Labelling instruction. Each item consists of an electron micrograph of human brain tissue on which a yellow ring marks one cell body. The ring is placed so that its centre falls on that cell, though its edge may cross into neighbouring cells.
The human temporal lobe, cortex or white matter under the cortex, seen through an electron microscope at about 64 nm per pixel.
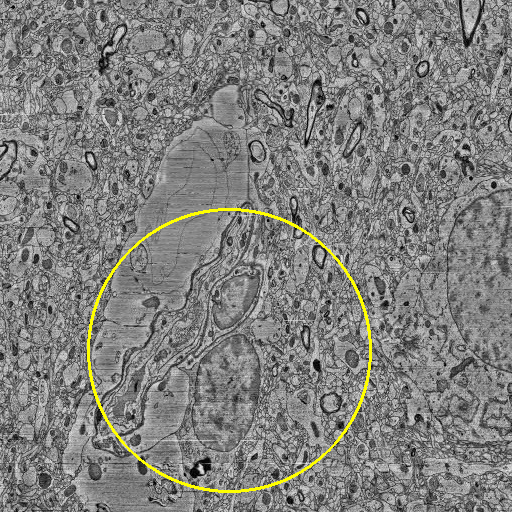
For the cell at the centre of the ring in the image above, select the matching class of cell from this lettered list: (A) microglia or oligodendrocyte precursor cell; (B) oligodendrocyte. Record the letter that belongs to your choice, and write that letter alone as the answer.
B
